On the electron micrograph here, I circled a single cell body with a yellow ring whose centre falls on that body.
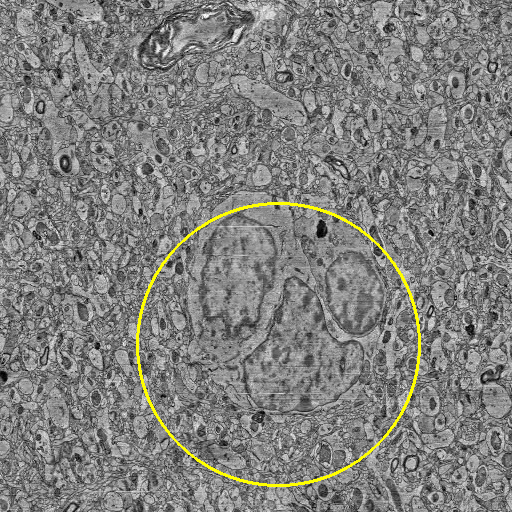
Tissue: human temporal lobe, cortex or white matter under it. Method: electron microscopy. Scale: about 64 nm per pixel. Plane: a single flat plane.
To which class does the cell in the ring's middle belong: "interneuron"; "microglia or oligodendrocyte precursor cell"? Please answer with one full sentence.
In this picture, the cell body circled at the ring's centre belongs to a microglial cell or oligodendrocyte precursor cell.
